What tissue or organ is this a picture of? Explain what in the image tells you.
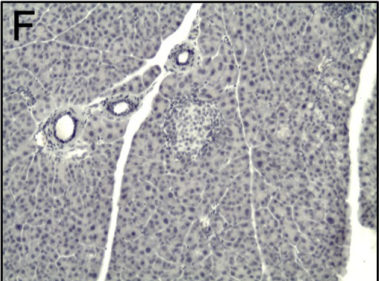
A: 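Sheets of acinar glandular tissue. Small ducts with open lumens in connective tissue septa. A pale cluster of cells within the acinar tissue.
Hence: pancreas.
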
